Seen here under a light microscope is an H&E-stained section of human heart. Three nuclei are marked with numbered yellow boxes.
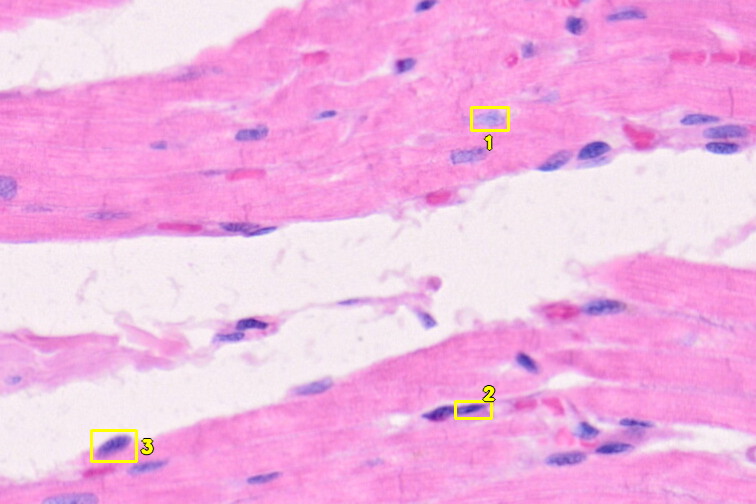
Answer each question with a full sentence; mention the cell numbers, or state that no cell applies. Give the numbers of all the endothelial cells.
Among the numbered cells, the one that is an endothelial cell is cell 2 alone.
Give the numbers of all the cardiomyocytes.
The cell labelled 1 is a cardiomyocyte, while the remaining numbered cells are not.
